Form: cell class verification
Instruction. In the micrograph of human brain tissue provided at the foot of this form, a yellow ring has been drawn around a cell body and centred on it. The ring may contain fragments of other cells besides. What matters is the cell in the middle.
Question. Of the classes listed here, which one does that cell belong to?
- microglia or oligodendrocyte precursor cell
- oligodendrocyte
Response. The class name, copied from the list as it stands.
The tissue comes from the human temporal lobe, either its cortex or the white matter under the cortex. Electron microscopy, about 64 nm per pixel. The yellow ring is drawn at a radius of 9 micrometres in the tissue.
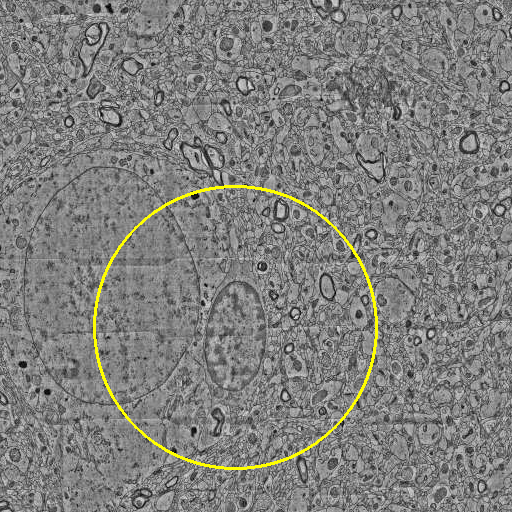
oligodendrocyte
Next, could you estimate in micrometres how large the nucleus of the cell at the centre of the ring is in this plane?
About 7 by 4 micrometers, in this plane.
